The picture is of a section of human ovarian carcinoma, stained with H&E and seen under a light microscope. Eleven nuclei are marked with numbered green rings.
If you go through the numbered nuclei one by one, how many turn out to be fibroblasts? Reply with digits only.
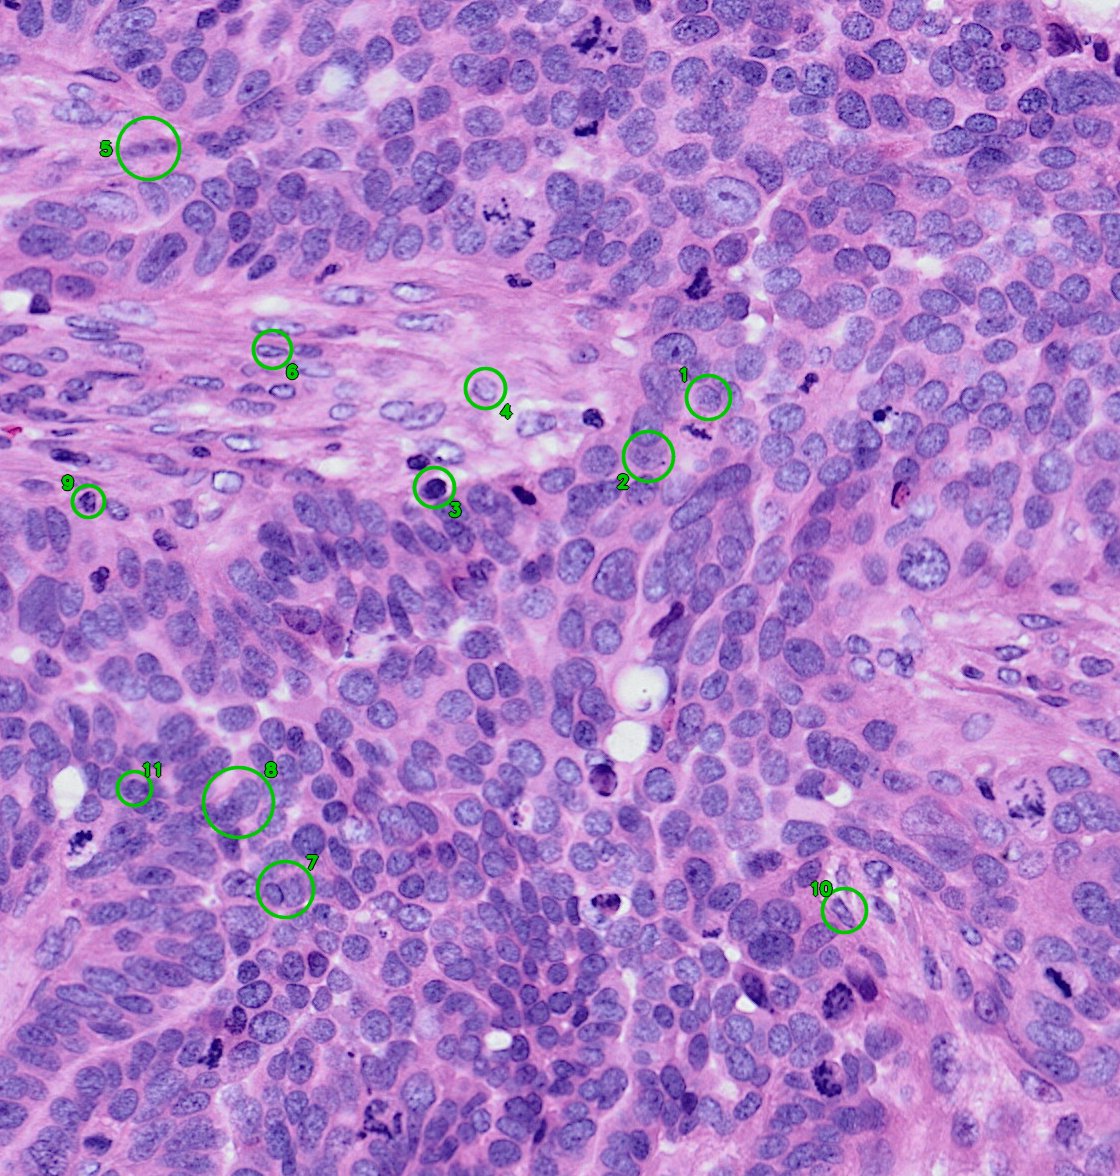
4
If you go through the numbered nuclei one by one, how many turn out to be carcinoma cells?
5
